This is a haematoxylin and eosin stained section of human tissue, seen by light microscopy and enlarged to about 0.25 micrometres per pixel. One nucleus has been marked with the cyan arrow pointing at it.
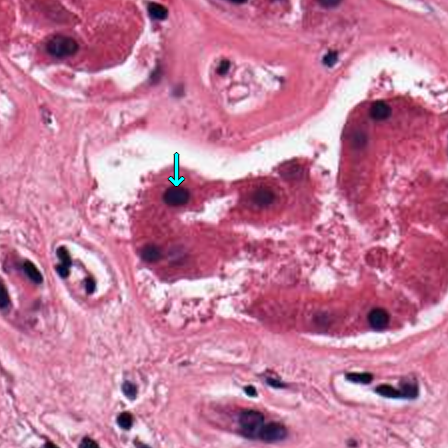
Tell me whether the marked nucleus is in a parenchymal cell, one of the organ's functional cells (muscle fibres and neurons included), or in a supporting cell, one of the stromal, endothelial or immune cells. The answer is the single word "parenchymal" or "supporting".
parenchymal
